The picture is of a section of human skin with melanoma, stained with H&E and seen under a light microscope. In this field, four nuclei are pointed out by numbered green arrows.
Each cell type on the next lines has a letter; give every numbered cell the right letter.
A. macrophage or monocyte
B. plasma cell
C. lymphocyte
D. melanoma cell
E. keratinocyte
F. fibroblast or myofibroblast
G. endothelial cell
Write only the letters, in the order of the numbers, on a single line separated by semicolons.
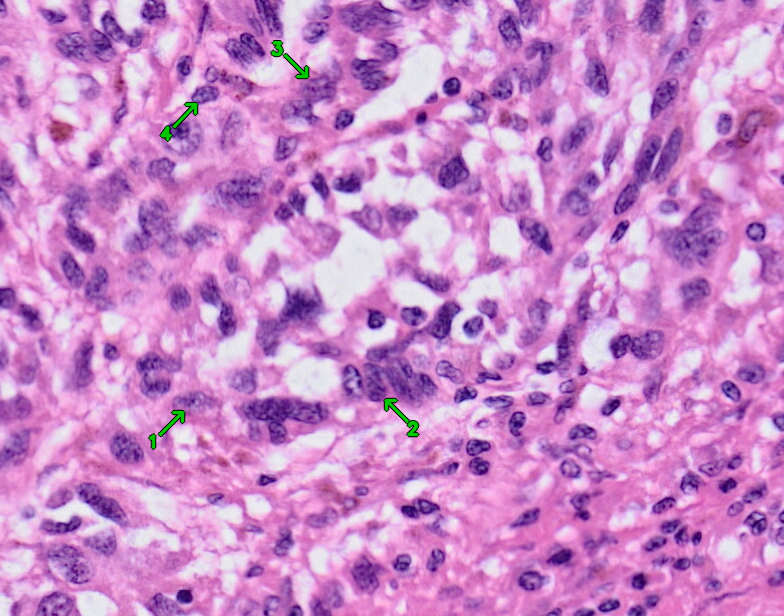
D; D; D; C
